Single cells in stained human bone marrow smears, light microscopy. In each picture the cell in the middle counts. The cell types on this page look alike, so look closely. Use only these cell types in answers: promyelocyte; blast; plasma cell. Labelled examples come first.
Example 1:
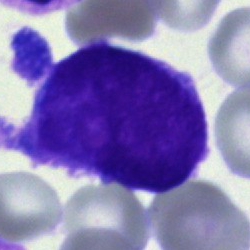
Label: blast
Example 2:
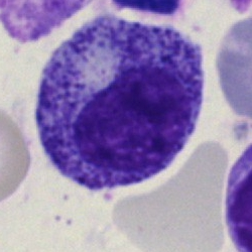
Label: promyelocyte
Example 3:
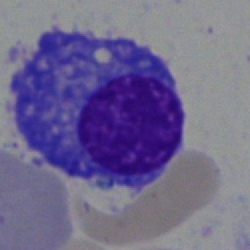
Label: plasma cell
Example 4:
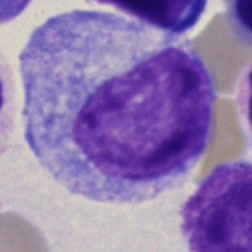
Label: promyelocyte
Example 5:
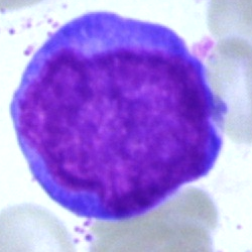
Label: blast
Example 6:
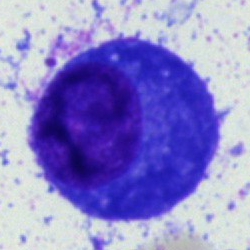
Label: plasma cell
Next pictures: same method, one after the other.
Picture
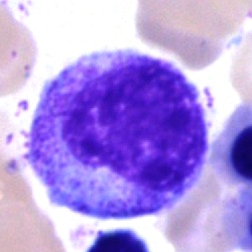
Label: promyelocyte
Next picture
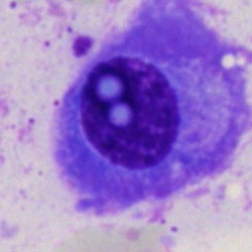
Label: plasma cell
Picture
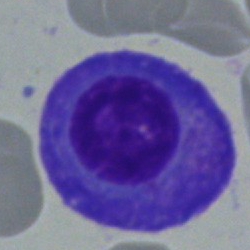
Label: plasma cell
